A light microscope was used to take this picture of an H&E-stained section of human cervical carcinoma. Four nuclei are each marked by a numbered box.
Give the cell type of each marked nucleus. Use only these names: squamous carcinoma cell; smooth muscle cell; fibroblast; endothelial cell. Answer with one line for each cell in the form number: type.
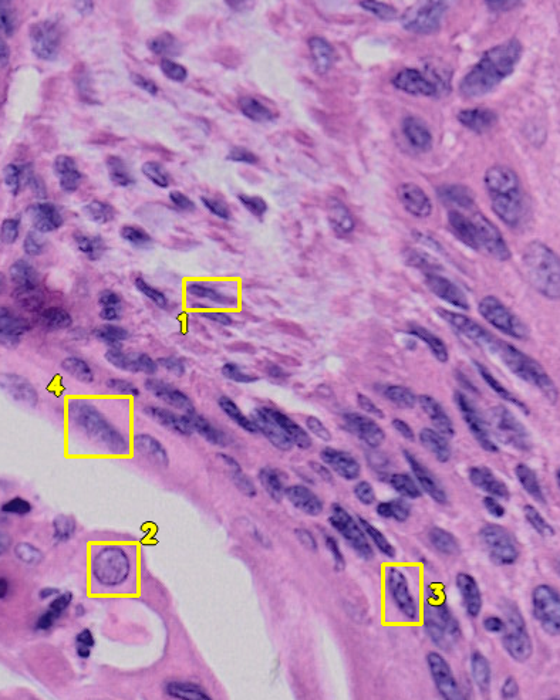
1: fibroblast
2: squamous carcinoma cell
3: squamous carcinoma cell
4: squamous carcinoma cell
